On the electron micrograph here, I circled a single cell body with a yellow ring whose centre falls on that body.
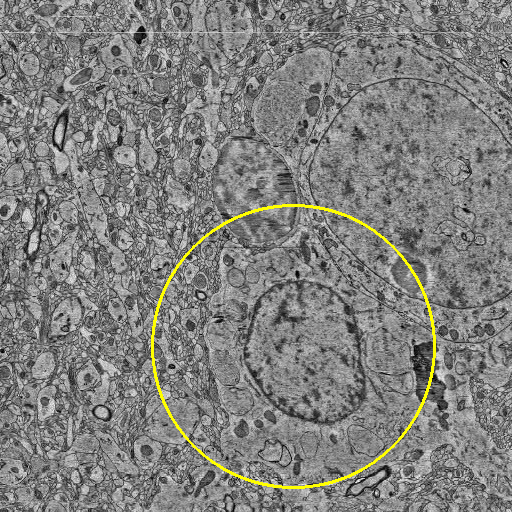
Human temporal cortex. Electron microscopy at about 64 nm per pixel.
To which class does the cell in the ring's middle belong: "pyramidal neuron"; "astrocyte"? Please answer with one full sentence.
In this picture, the cell body circled at the ring's centre belongs to an astrocyte.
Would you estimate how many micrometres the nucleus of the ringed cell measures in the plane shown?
Approximately 10 x 7 micrometres in this plane.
